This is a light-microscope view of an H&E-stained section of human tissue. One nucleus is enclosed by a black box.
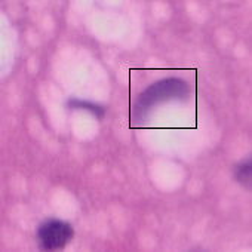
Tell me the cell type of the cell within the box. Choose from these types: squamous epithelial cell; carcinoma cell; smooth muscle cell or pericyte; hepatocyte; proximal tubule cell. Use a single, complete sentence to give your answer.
Within this tissue, the cell within the box is a squamous epithelial cell.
